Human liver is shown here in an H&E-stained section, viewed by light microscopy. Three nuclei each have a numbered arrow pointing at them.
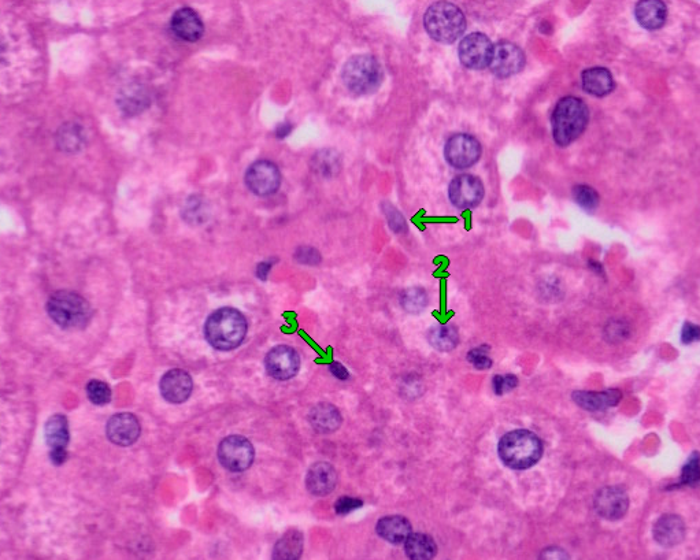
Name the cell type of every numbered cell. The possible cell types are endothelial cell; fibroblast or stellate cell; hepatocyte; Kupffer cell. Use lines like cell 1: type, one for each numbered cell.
cell 1: Kupffer cell
cell 2: hepatocyte
cell 3: fibroblast or stellate cell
